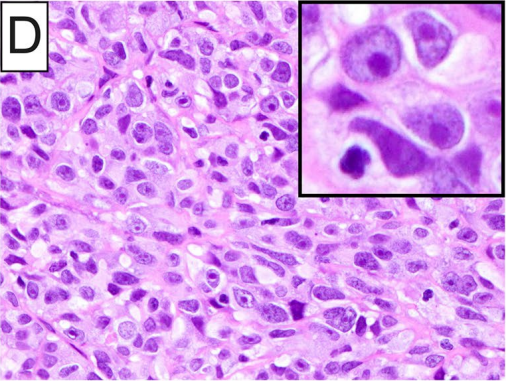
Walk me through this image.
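Sheets of atypical epithelioid to round cells with round to oval pleomorphic nuclei and pink cytoplasm bounded by distinct cell borders. Occasional dark hyperchromatic or mitotic nuclei lie among them.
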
